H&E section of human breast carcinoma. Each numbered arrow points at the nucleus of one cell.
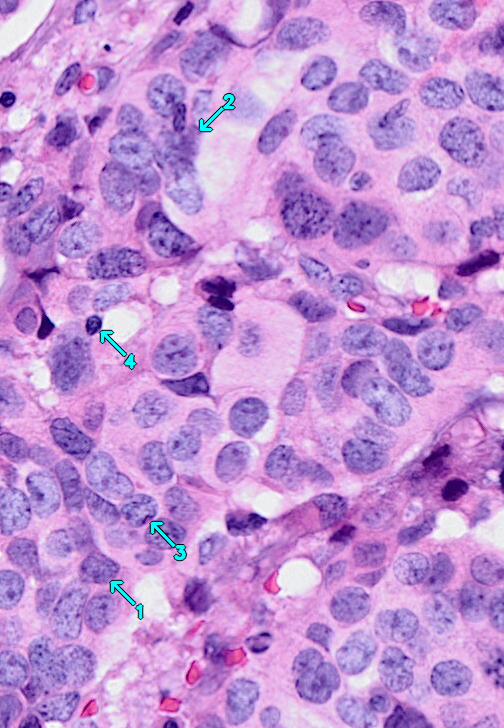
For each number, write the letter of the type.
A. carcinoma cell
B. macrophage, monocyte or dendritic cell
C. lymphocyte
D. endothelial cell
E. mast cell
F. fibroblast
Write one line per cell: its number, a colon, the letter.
1: A
2: A
3: A
4: C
